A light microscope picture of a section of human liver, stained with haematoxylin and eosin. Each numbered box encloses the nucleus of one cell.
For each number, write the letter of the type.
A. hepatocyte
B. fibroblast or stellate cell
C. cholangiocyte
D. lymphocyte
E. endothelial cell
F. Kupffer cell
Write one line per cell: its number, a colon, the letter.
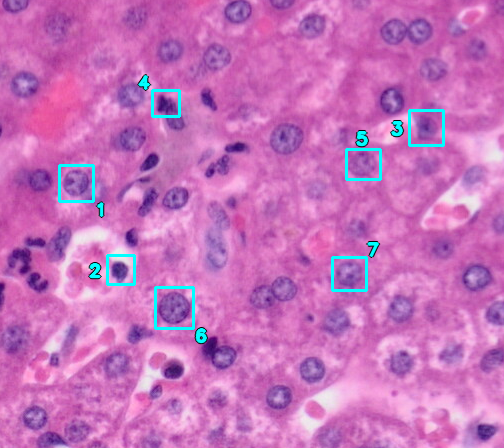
1: A
2: D
3: E
4: B
5: A
6: A
7: A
